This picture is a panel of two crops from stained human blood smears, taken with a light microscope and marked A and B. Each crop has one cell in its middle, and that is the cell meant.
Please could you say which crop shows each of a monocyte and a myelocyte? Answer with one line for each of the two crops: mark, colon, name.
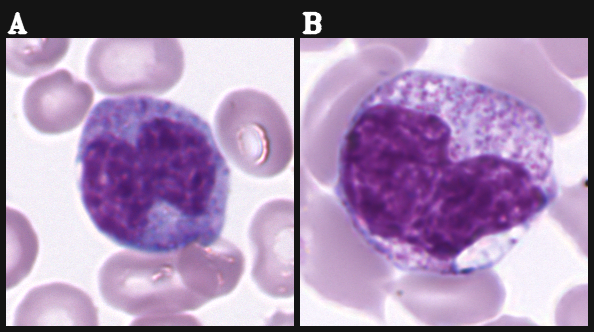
A: monocyte
B: myelocyte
